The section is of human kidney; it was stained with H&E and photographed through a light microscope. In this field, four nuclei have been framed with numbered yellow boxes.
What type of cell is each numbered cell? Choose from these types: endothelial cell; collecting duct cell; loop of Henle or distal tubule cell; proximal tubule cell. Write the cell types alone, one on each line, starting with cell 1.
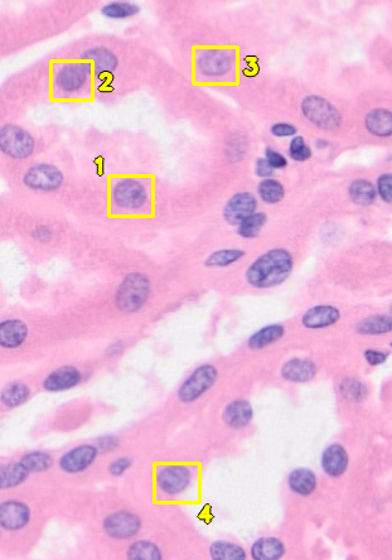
proximal tubule cell
proximal tubule cell
proximal tubule cell
loop of Henle or distal tubule cell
